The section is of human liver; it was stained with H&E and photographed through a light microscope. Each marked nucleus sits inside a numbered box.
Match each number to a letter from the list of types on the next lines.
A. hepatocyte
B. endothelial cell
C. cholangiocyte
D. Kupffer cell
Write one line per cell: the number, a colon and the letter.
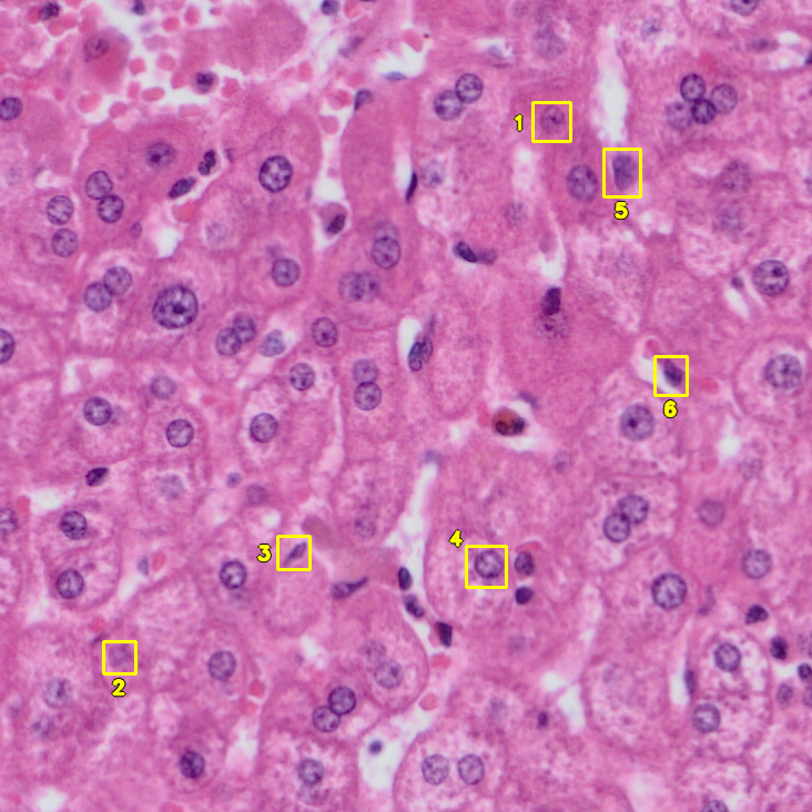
1: A
2: A
3: B
4: A
5: B
6: D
